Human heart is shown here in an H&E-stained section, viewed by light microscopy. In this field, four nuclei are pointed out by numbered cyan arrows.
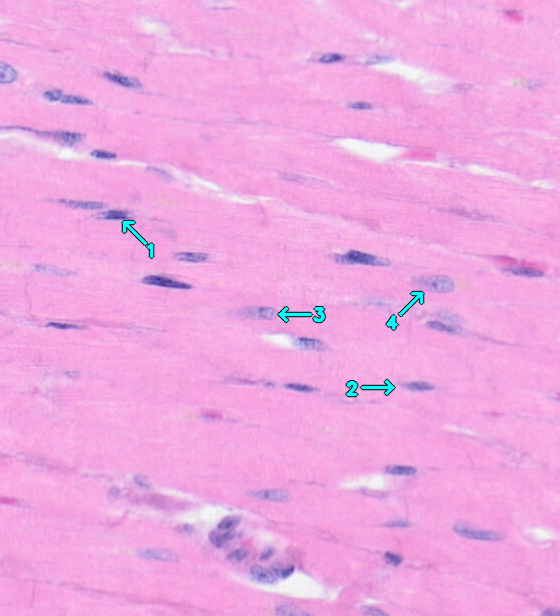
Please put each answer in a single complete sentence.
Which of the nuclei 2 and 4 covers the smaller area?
Nucleus 2 is the smaller one; nucleus 4 covers about 2 times its area.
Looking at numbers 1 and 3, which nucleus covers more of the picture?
The larger nucleus is 3, at roughly 1.5 times the area of 1.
